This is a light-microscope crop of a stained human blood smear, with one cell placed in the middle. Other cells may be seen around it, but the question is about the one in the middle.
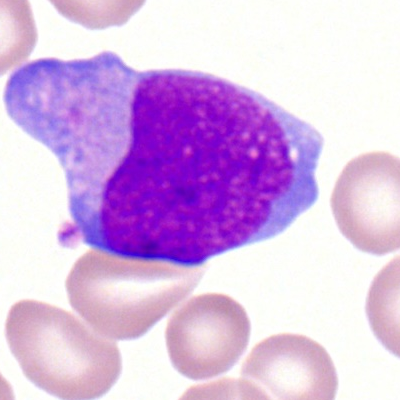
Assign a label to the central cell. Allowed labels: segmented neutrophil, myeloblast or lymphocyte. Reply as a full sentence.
The central element of this crop is a cell, namely a myeloblast.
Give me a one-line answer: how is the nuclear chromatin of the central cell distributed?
The nuclear chromatin is fine, showing no coarse aggregates.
